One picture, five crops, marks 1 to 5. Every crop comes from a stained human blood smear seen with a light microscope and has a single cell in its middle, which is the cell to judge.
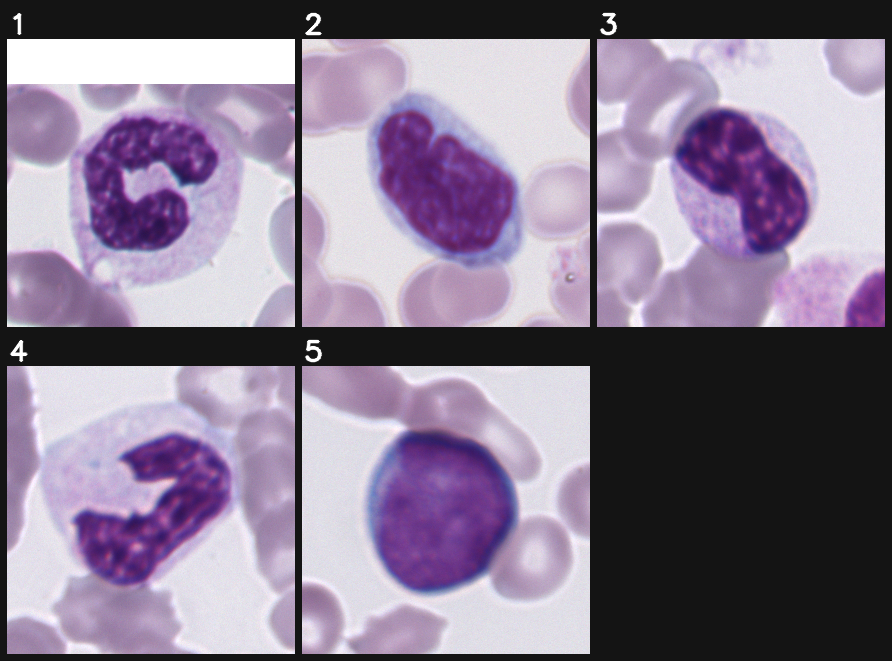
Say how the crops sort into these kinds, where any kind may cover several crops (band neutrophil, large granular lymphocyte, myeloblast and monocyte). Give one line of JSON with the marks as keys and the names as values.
{"1": "band neutrophil", "2": "monocyte", "3": "band neutrophil", "4": "band neutrophil", "5": "myeloblast"}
